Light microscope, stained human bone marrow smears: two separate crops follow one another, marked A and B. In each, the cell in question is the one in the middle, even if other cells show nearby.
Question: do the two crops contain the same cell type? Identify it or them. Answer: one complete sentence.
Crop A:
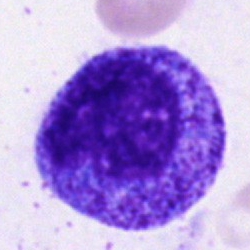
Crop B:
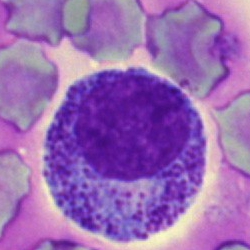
Yes, the cells at the centre of the two crops are both promyelocytes.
